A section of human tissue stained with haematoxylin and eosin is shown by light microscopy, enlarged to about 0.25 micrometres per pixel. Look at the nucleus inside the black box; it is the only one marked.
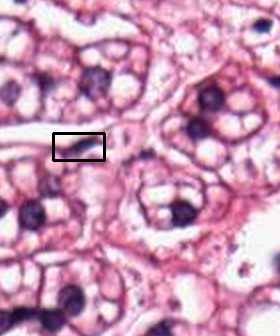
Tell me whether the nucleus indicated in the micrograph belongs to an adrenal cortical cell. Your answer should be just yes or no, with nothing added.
no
